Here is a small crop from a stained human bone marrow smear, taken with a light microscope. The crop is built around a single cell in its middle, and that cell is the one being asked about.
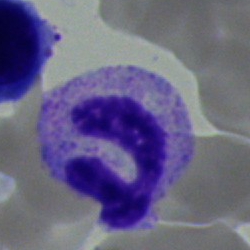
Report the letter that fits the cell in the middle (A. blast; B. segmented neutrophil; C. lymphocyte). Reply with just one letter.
B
